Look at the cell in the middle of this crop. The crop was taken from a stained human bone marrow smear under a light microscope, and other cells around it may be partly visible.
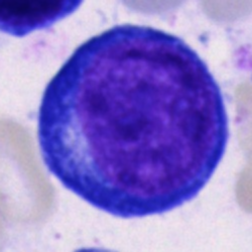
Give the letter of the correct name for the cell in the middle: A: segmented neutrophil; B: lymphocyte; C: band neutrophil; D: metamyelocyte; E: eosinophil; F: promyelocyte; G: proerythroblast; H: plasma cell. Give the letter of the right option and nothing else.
G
